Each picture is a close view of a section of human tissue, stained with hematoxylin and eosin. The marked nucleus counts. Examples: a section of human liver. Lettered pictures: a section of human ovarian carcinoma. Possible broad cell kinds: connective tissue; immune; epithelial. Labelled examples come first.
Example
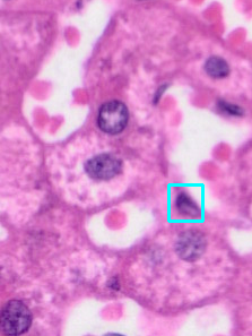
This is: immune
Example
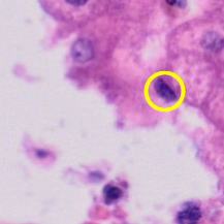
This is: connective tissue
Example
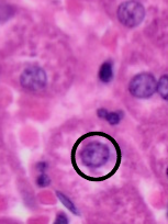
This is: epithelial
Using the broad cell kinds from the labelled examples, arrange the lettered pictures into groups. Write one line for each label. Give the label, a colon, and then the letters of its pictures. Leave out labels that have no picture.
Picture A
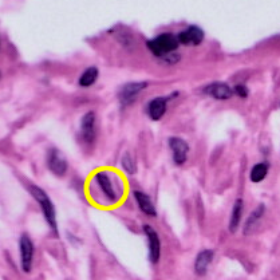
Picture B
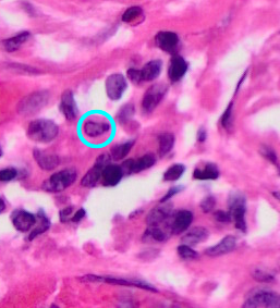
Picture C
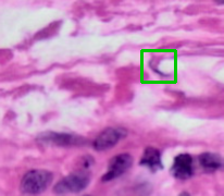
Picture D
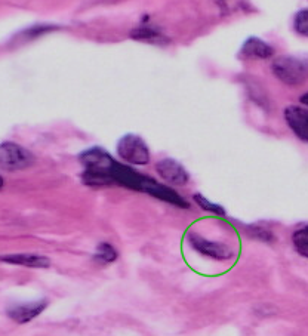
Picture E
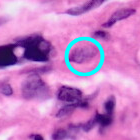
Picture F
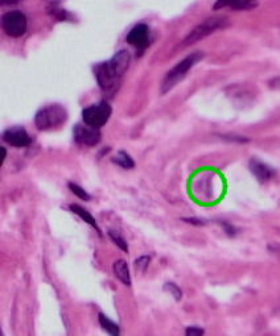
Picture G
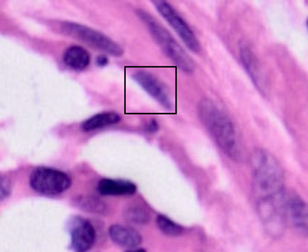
connective tissue: A, C, D, E, F, G
immune: B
